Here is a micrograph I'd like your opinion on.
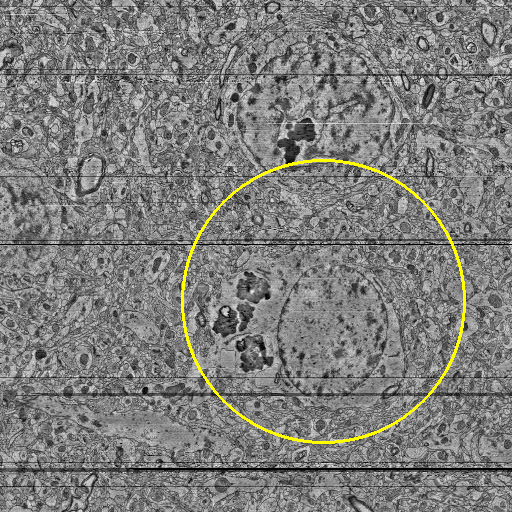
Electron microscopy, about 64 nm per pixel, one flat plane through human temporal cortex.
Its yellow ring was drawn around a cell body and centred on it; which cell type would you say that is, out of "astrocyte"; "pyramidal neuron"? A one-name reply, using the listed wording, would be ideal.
astrocyte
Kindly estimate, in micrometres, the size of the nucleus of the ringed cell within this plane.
The nucleus has a long axis of about 9 micrometres and a short axis of about 7 micrometres in this plane.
